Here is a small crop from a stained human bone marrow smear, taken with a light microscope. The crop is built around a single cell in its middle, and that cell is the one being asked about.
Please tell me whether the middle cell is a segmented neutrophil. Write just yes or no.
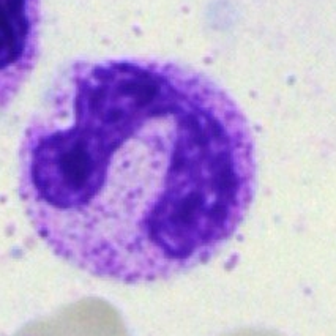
yes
